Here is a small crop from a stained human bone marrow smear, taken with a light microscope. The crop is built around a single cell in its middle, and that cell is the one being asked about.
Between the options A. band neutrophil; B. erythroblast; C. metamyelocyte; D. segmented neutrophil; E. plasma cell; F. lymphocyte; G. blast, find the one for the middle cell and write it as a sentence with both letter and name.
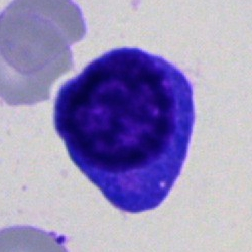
Option E is the right one, for the cell in the middle is a plasma cell.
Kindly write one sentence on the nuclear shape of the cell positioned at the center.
The nucleus amounts to one compact mass with a round, oval or kidney-shaped outline.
